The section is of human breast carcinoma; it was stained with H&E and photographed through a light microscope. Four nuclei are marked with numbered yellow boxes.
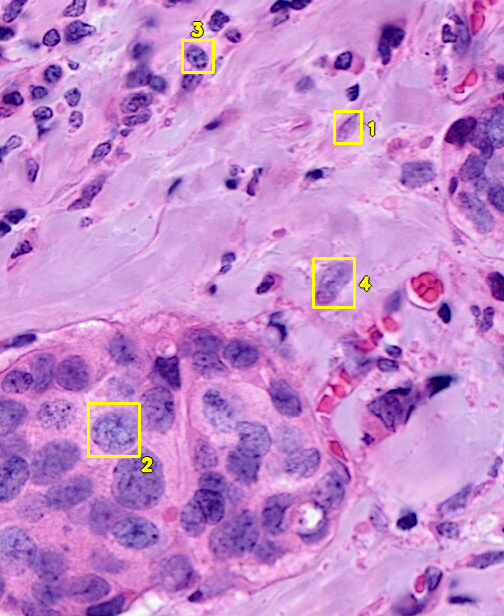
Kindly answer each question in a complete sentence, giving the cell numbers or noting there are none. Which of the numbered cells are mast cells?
Just the cell marked 3 is a mast cell; none of the other marked cells is.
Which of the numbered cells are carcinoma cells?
Among the numbered cells, the one that is a carcinoma cell is cell 2 alone.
